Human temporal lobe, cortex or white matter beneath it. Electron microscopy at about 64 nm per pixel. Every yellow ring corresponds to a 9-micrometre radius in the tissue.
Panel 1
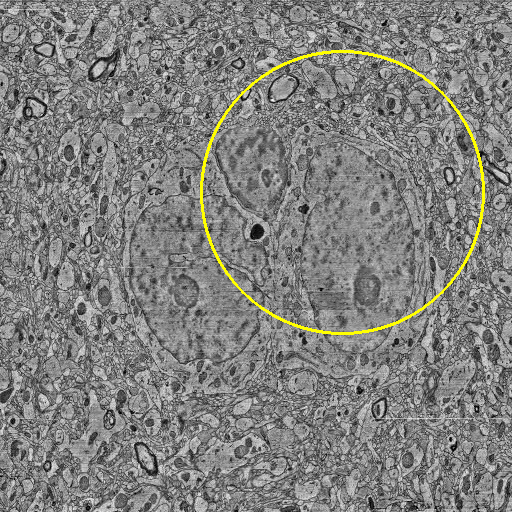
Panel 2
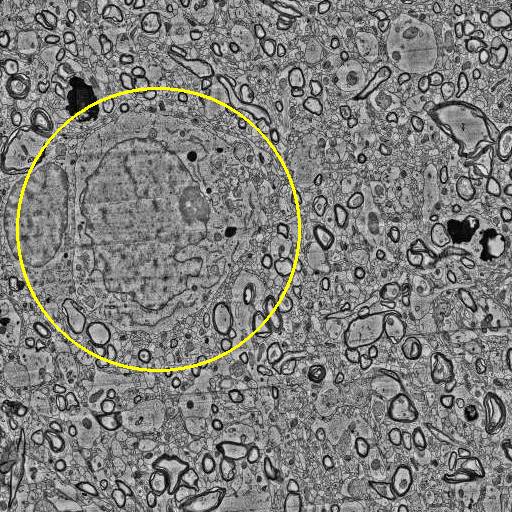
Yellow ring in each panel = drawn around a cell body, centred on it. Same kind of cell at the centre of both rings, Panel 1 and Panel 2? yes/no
yes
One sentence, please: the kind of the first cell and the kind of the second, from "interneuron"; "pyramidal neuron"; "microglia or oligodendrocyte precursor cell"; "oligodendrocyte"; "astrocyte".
The cell at the ring centre is an interneuron in both pictures.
